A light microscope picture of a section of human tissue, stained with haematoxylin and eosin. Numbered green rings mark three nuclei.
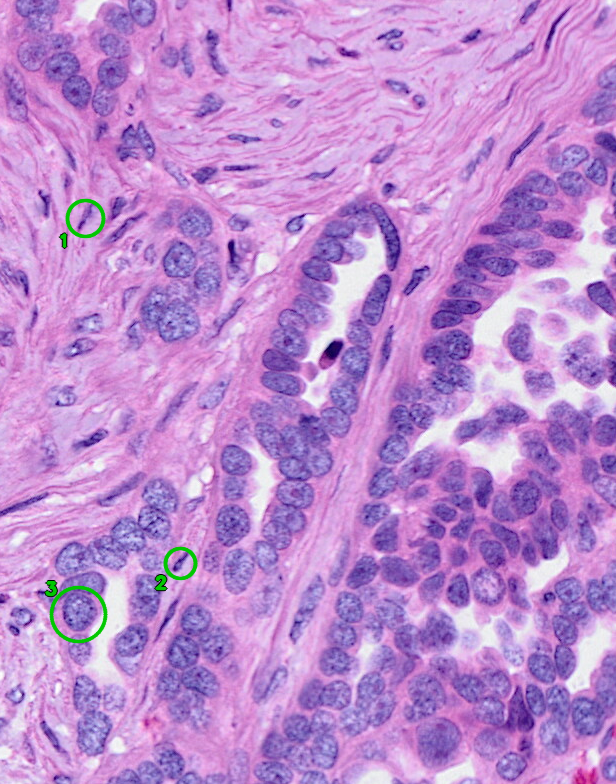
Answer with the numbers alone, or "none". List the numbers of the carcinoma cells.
3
